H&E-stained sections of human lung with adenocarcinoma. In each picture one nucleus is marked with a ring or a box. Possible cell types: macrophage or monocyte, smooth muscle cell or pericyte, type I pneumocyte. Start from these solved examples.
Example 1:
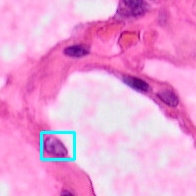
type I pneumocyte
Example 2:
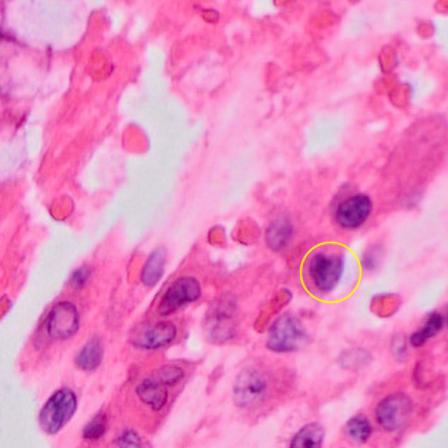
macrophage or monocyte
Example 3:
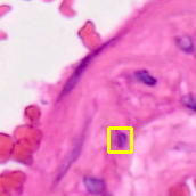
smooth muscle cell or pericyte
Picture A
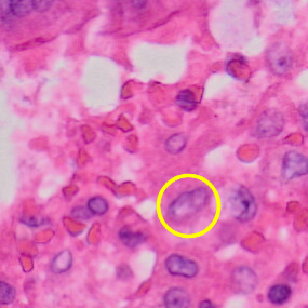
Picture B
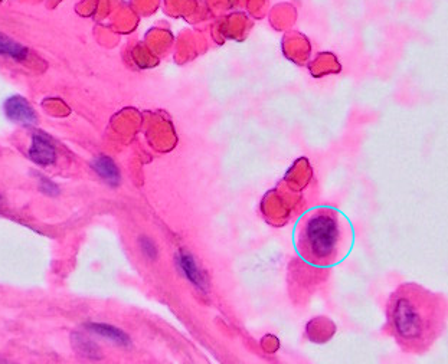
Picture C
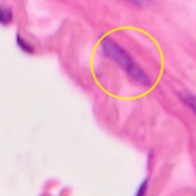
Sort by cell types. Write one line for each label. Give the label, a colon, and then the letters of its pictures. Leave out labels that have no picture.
macrophage or monocyte: A, B
smooth muscle cell or pericyte: C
